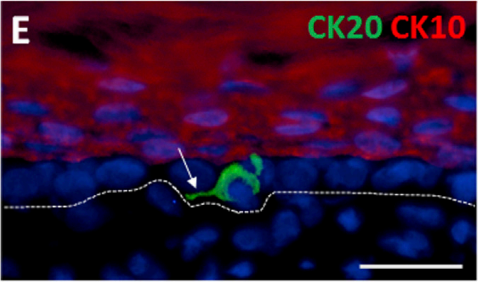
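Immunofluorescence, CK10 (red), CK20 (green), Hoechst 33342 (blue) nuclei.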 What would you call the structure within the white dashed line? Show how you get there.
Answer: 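The dashed line separates a packed row of basal nuclei above from looser dermal nuclei below. So: dermal-epidermal junctions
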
